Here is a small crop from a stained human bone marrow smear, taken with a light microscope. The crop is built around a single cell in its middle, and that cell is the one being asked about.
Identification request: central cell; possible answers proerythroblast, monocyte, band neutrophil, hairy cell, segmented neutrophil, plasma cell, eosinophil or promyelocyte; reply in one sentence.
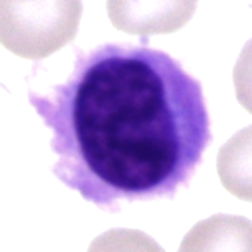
The centrally located cell in the crop is a hairy cell.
